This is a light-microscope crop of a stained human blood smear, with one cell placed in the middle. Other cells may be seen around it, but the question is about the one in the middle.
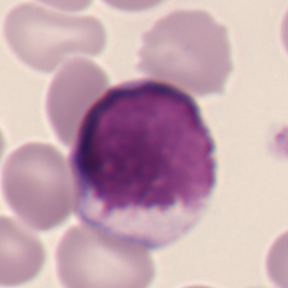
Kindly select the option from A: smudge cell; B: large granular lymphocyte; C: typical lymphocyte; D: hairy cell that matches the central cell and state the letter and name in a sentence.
The cell at the centre is a large granular lymphocyte, and option B accordingly is correct.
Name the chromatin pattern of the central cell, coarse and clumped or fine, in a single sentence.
The chromatin is fine, with no coarse clumping anywhere.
